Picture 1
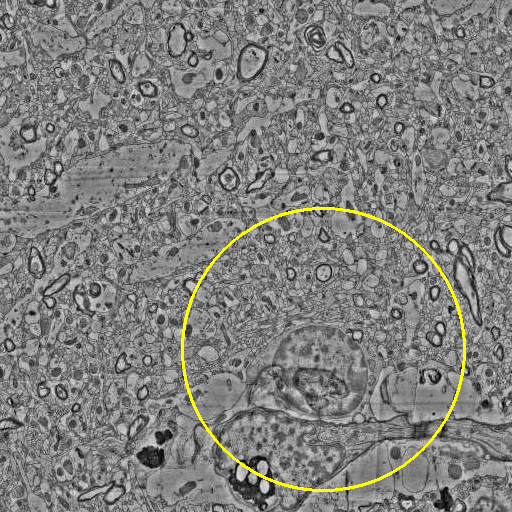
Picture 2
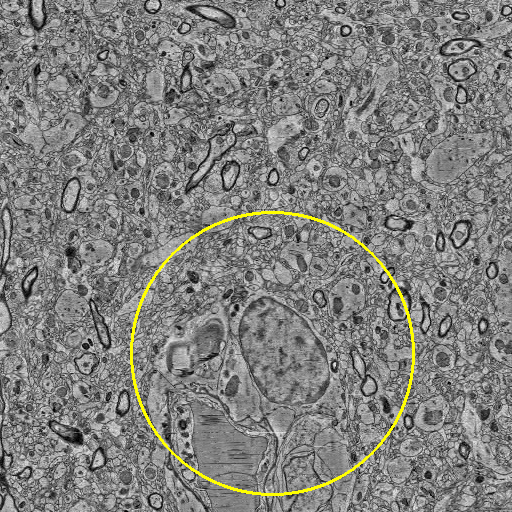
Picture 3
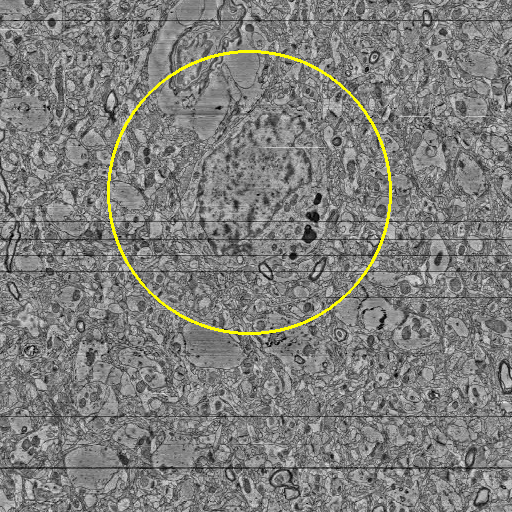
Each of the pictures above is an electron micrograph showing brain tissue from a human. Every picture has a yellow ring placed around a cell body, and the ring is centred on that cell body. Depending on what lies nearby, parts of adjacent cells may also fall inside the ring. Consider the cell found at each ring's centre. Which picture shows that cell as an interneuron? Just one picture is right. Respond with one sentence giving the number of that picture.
The picture showing the wanted cell at the ring's centre is number 3.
